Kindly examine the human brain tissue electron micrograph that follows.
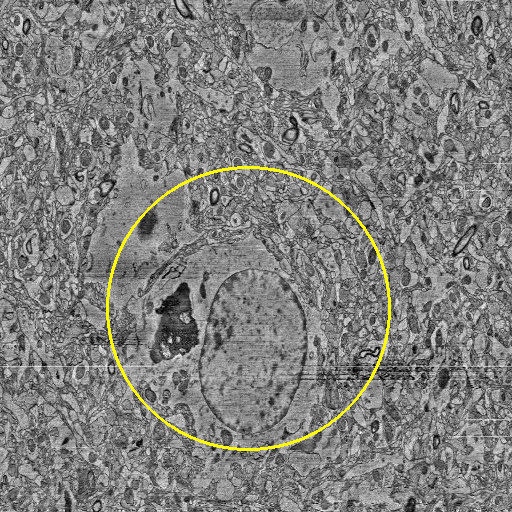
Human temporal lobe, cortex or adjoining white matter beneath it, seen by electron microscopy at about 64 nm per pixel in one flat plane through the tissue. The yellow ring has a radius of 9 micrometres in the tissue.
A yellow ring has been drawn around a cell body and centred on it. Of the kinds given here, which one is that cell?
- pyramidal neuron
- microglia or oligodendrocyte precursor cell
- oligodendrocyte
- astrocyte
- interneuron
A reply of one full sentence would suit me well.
The micrograph's ringed cell, the one at the ring's centre, is an astrocyte.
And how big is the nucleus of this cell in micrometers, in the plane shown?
The nucleus of the ringed cell is clearly longer than it is wide in this plane, about 11 by 7 micrometres.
